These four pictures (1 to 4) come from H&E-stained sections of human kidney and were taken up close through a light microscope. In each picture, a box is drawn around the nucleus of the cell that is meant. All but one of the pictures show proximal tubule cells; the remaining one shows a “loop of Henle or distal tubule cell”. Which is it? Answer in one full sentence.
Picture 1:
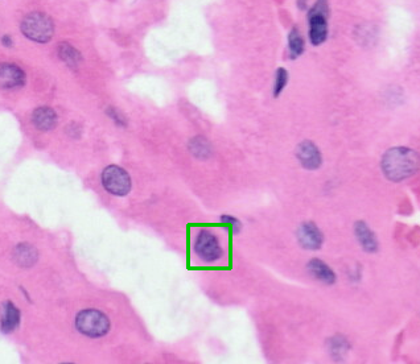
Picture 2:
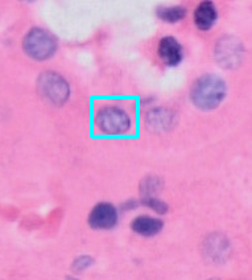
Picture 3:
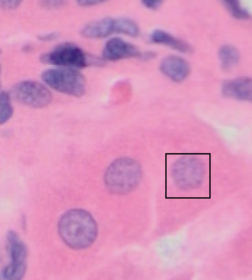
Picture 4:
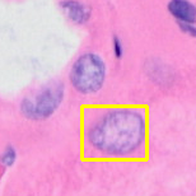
Picture 2 shows the “loop of Henle or distal tubule cell”.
